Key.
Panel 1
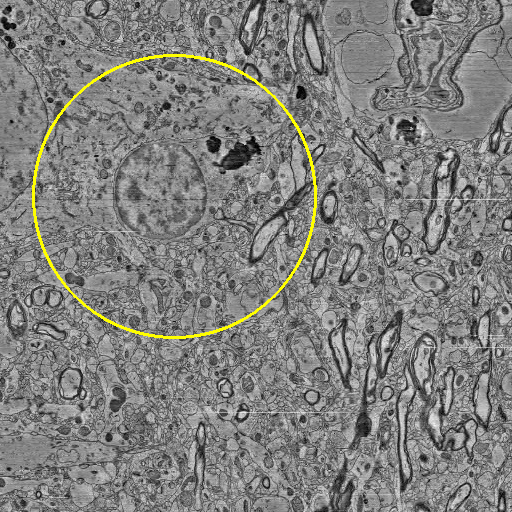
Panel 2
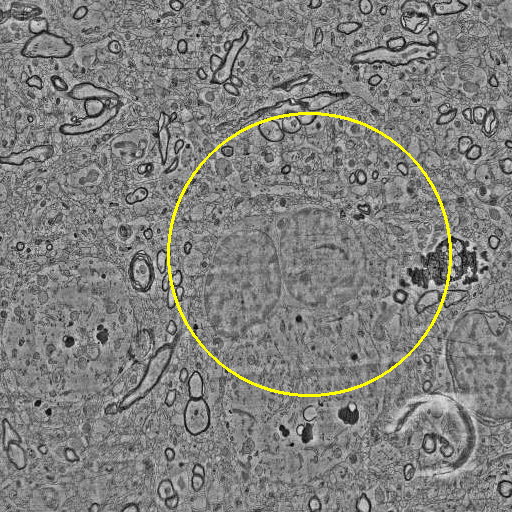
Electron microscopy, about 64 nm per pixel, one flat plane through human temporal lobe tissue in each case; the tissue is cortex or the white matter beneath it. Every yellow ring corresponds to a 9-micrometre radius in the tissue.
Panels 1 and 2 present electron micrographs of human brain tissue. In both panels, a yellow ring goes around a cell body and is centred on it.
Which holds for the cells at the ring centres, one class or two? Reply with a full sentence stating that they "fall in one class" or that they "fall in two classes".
Taken together, the ring-centre cells of the two panels fall in one class.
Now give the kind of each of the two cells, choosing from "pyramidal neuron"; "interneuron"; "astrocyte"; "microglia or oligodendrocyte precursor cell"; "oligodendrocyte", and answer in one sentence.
The cell at the ring centre is an oligodendrocyte in both pictures.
